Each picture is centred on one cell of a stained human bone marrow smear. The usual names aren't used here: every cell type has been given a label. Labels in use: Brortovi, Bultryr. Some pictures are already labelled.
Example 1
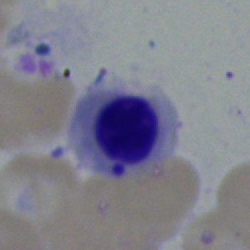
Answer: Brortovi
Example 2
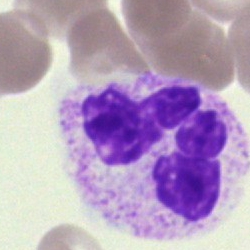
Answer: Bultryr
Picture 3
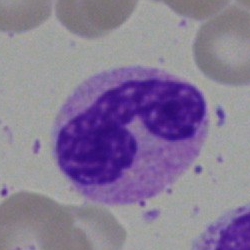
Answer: Bultryr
